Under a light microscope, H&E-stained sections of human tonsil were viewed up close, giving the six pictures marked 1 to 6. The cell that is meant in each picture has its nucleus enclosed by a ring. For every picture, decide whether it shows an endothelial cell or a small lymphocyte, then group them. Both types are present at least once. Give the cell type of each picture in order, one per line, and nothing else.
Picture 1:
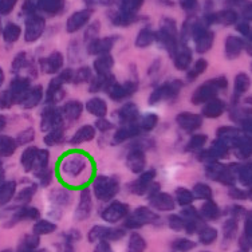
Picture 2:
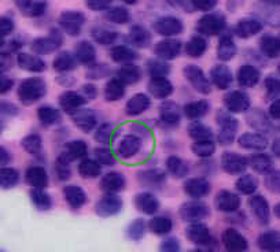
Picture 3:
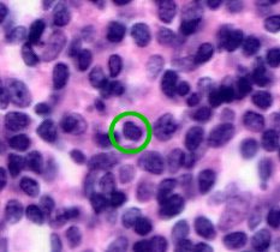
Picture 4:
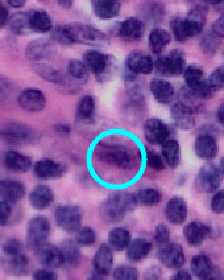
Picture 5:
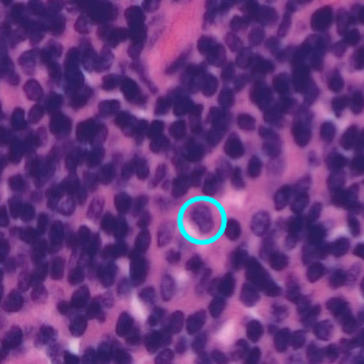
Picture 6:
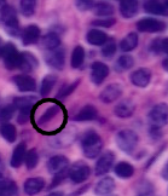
endothelial cell
small lymphocyte
small lymphocyte
endothelial cell
endothelial cell
endothelial cell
